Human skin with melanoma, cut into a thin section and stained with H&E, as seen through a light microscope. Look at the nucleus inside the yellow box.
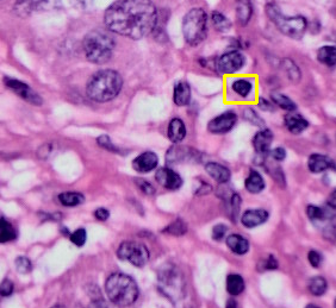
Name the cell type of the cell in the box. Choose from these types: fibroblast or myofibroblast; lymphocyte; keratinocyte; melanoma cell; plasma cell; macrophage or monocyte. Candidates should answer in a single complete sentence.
The correct response here is that the cell in the box is a lymphocyte.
